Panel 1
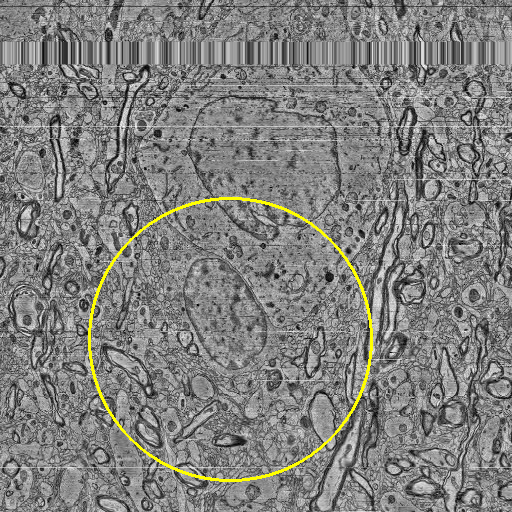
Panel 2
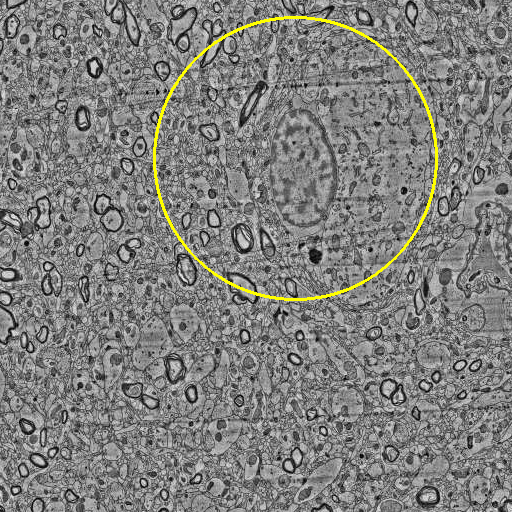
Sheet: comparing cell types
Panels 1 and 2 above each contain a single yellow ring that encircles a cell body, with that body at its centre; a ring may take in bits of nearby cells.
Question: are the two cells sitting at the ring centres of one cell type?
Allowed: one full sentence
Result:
Yes, the ring-centre cells in Panel 1 and Panel 2 are of one type.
